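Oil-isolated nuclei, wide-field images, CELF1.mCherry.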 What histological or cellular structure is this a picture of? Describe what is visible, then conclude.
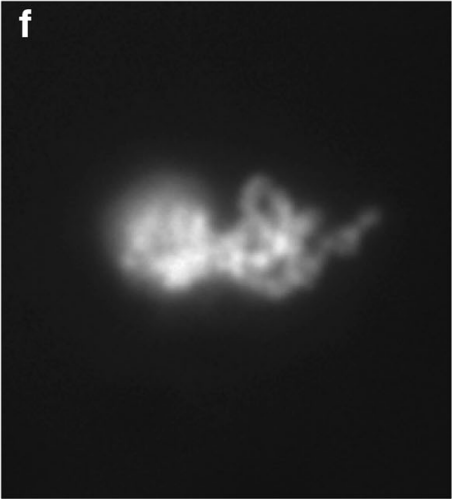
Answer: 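A dense, bright tangle of fluorescent material with a thinner looping strand trailing off to one side. The strands are coiled and irregular.
Conclusion: contorted loops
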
